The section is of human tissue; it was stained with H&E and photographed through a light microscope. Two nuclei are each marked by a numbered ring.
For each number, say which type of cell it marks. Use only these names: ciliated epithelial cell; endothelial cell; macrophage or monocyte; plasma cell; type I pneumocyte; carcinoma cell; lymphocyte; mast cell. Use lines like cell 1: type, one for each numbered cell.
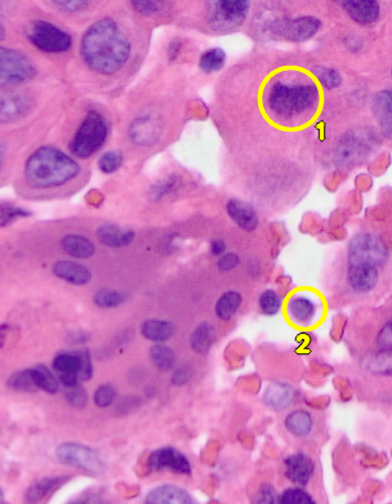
cell 1: carcinoma cell
cell 2: lymphocyte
